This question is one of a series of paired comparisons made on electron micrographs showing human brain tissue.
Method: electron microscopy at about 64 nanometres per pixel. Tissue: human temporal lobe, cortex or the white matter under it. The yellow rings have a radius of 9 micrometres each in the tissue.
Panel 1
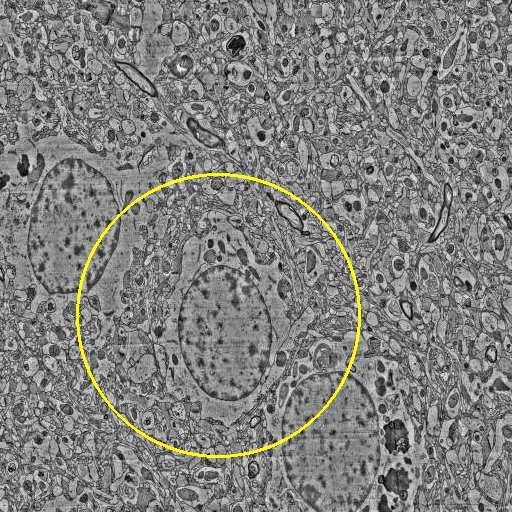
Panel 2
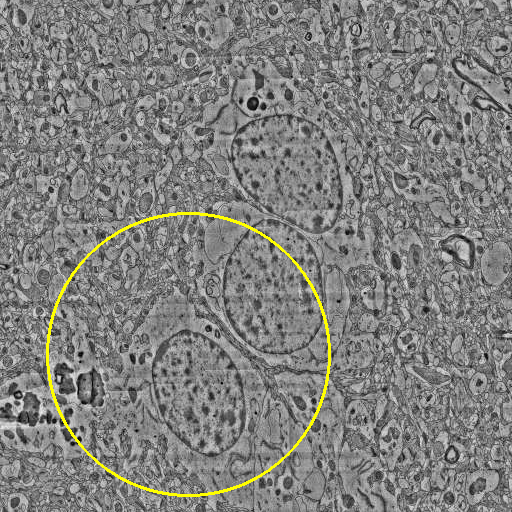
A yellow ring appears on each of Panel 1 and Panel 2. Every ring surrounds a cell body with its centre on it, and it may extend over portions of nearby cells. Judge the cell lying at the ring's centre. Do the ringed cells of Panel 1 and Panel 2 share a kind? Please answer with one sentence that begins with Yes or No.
Yes, the ring-centre cell in Panel 1 and the one in Panel 2 are of one kind.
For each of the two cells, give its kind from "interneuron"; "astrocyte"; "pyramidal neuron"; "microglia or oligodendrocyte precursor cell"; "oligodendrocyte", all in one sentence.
The first and the second cell are each an astrocyte.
